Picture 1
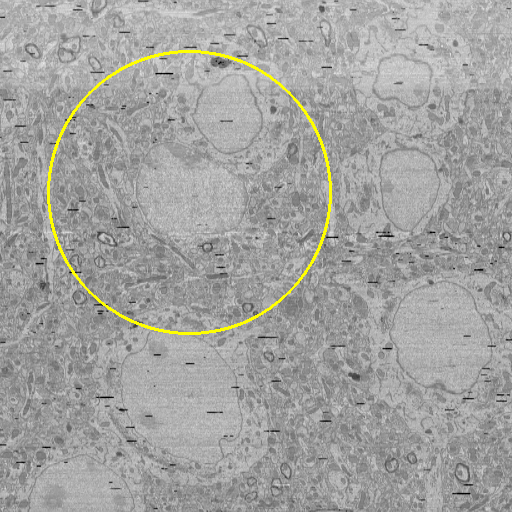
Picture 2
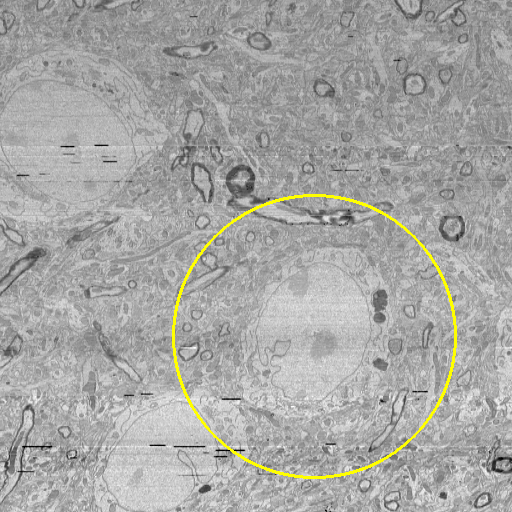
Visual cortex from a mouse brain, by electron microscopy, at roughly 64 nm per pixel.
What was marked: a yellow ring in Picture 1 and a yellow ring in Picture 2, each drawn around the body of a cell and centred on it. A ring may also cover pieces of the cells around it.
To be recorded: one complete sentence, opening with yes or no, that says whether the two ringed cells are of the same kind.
No, the two ringed cells are of two kinds.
